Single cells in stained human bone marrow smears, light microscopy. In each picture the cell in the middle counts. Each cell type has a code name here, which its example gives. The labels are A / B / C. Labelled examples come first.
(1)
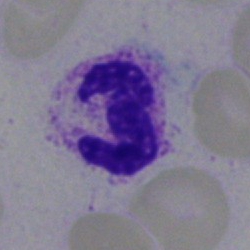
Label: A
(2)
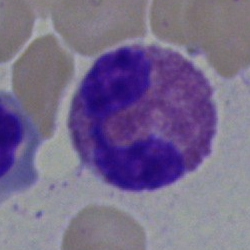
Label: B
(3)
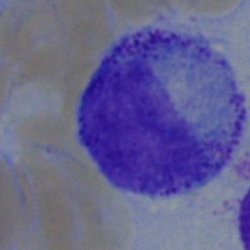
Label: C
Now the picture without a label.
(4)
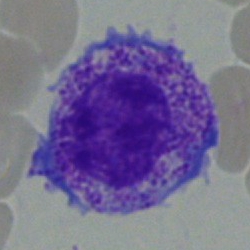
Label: C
